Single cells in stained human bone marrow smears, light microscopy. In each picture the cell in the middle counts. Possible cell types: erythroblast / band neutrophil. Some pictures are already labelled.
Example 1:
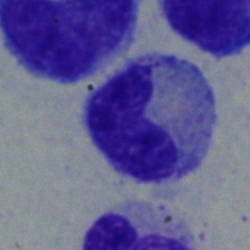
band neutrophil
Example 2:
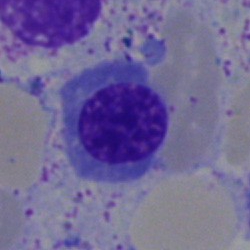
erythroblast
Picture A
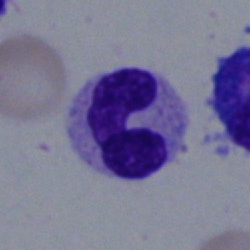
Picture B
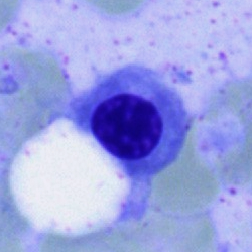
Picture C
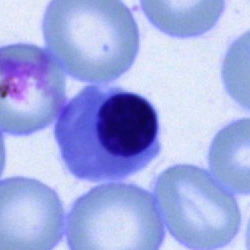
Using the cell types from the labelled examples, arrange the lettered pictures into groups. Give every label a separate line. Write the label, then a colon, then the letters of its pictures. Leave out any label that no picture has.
erythroblast: B, C
band neutrophil: A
